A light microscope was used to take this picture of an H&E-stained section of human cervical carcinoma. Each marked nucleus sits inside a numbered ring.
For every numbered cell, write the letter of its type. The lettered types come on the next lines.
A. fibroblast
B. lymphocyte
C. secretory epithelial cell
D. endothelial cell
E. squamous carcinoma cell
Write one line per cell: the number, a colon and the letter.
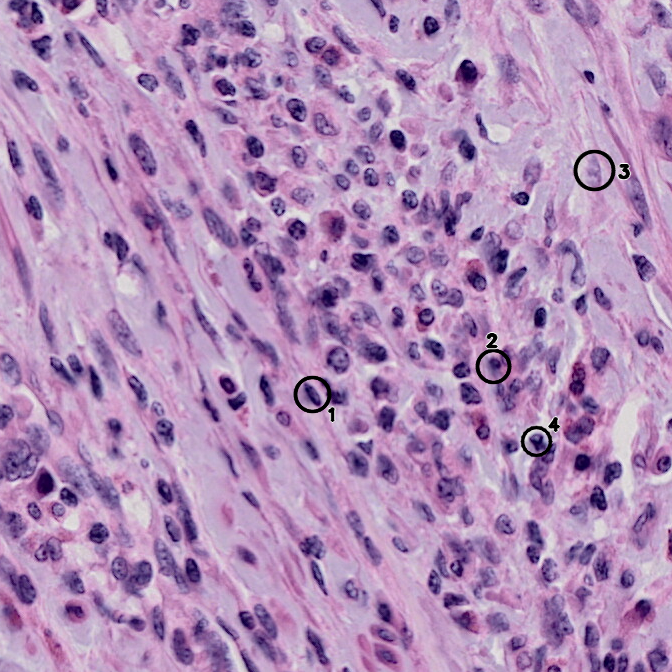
1: B
2: B
3: A
4: B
